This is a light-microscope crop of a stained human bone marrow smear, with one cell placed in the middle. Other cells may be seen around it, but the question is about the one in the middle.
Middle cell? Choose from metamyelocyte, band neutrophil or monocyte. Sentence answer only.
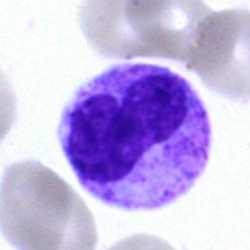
Classified as a metamyelocyte is the cell in the middle of this crop.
